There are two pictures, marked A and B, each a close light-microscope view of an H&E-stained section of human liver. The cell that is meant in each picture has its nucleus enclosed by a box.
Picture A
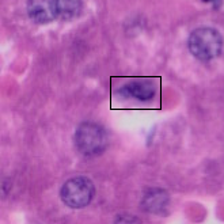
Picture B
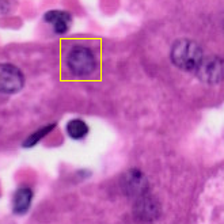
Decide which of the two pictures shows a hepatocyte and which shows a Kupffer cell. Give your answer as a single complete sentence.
Picture A shows a Kupffer cell and picture B shows a hepatocyte.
